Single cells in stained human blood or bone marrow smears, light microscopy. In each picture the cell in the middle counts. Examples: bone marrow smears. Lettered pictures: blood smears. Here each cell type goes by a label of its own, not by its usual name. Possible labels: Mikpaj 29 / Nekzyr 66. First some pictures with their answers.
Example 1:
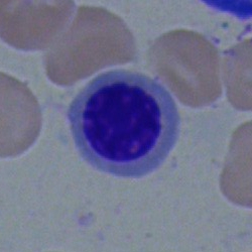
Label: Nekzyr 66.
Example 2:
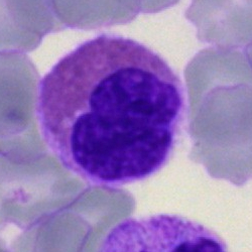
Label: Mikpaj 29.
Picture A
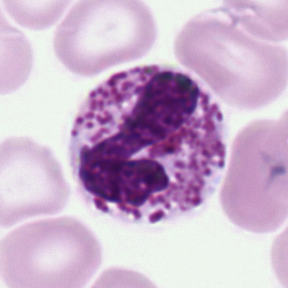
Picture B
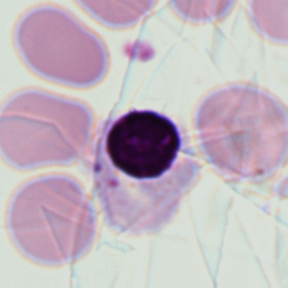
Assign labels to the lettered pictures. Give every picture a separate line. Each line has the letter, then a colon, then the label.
A: Mikpaj 29.
B: Nekzyr 66.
